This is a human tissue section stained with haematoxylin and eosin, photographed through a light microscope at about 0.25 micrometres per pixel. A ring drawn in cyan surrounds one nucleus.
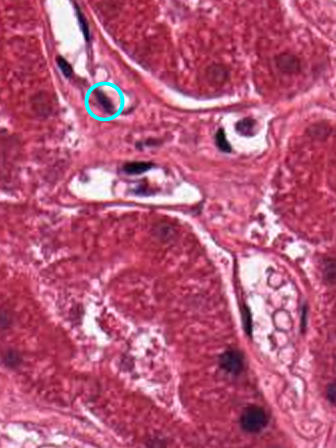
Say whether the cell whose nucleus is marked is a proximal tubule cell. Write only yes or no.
no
